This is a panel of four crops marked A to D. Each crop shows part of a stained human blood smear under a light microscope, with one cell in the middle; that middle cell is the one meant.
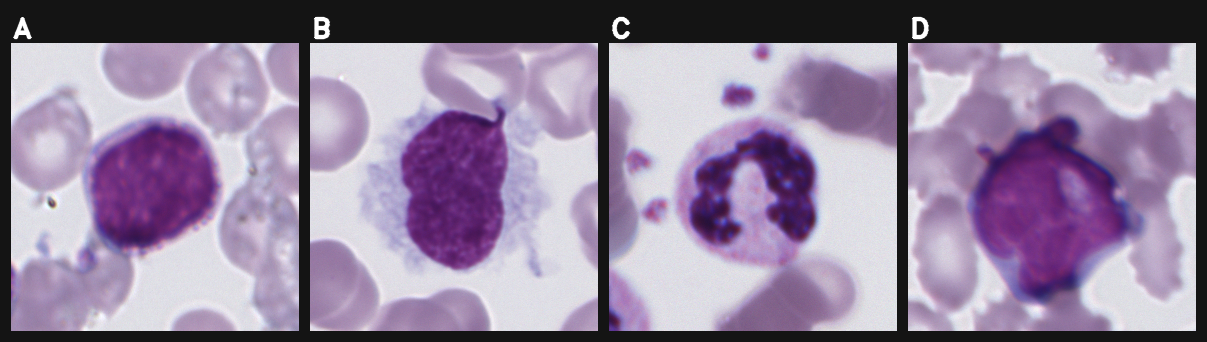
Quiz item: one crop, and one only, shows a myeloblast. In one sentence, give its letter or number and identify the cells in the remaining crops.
The cell at the centre of crop D is a myeloblast, while crop A is a large granular lymphocyte, crop B is a hairy cell and crop C is a segmented neutrophil.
